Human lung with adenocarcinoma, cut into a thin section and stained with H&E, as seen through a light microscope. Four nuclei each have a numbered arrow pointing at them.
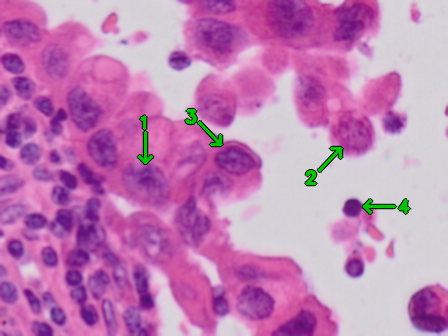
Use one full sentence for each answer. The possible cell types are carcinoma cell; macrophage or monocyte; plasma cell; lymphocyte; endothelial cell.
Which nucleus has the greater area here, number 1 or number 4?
Of the two, number 1 is bigger and takes up about 4 times the area of number 4.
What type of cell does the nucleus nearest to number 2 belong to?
The nucleus nearest to number 2 is that of a lymphocyte.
